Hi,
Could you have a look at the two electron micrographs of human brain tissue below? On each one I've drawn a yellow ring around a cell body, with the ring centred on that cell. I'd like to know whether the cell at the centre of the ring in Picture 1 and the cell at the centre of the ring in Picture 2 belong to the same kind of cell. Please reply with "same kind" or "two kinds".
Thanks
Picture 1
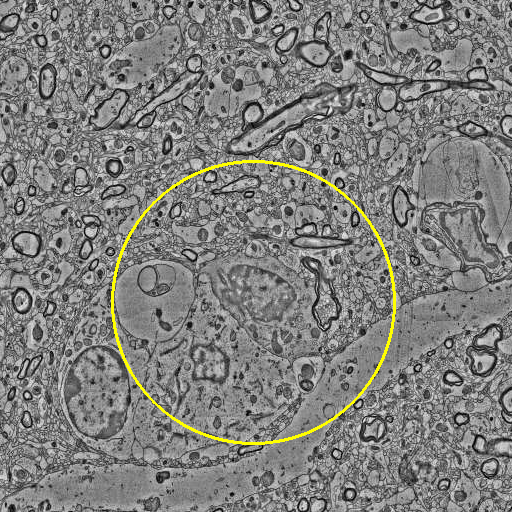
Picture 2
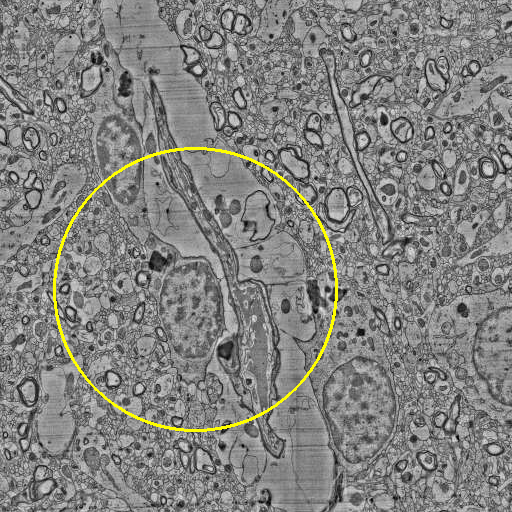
same kind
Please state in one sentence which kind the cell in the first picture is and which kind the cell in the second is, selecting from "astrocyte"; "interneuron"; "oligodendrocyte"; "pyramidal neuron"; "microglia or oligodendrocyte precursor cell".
The first and the second cell are each an oligodendrocyte.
